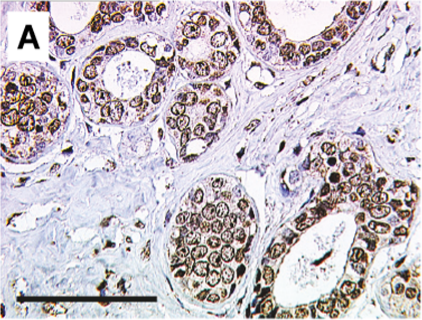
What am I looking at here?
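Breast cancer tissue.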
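Several rounded nests of epithelial cells lie in a pale blue fibrous stroma, some filling duct-like spaces and some lining open lumina. The cells in the nests are crowded, with large rounded nuclei that are stained brown throughout. The cytoplasm around them is scant and pale.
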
